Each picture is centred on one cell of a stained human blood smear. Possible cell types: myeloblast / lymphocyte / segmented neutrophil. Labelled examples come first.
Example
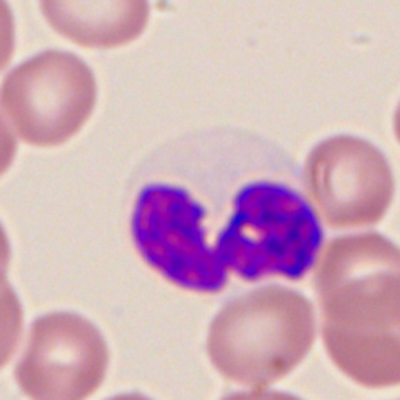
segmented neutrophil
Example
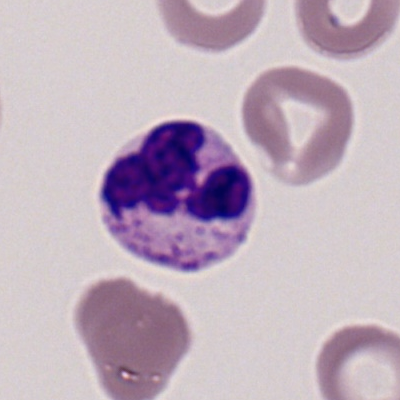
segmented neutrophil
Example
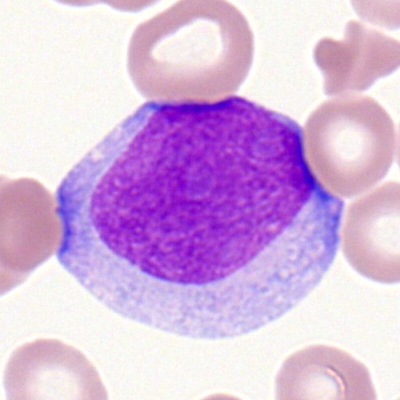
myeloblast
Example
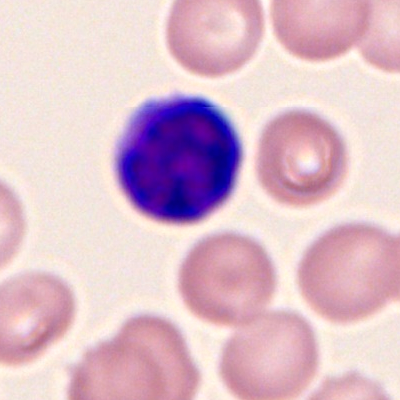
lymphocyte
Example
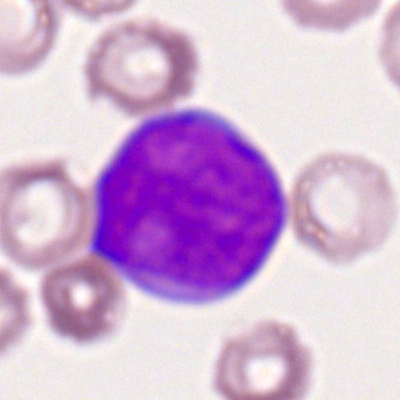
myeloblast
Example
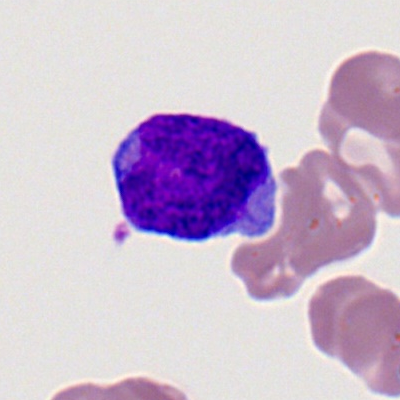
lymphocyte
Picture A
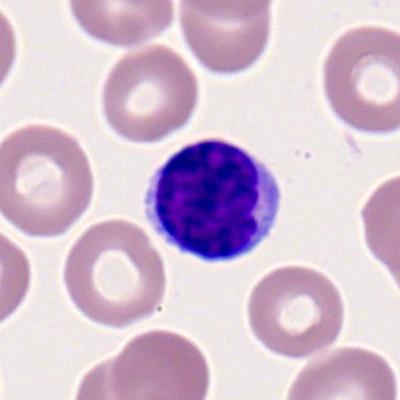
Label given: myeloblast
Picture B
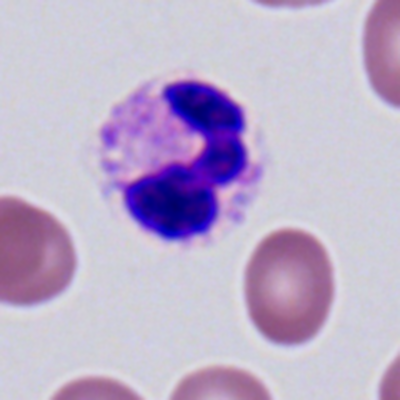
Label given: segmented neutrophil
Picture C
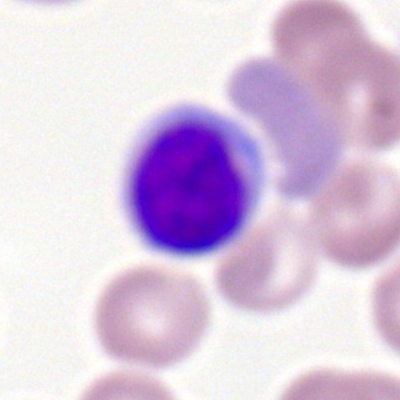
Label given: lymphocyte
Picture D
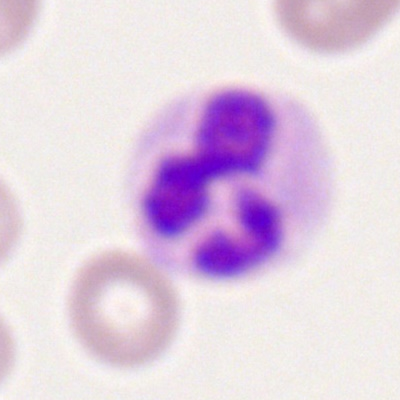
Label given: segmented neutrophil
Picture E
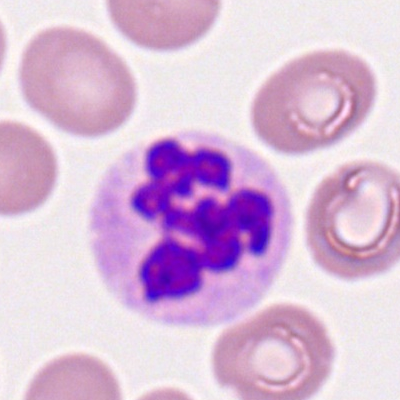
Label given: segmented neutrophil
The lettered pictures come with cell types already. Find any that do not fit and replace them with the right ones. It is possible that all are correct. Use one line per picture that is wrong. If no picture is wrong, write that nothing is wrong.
A: change myeloblast to lymphocyte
